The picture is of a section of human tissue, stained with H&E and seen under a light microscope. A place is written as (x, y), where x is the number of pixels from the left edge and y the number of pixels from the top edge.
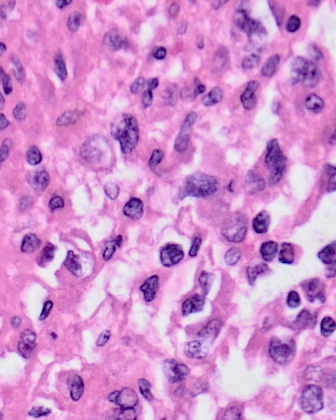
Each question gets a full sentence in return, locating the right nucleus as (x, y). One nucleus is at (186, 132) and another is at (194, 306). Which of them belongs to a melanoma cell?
Of the two nuclei, it is the one at (194, 306) that lies within a melanoma cell.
